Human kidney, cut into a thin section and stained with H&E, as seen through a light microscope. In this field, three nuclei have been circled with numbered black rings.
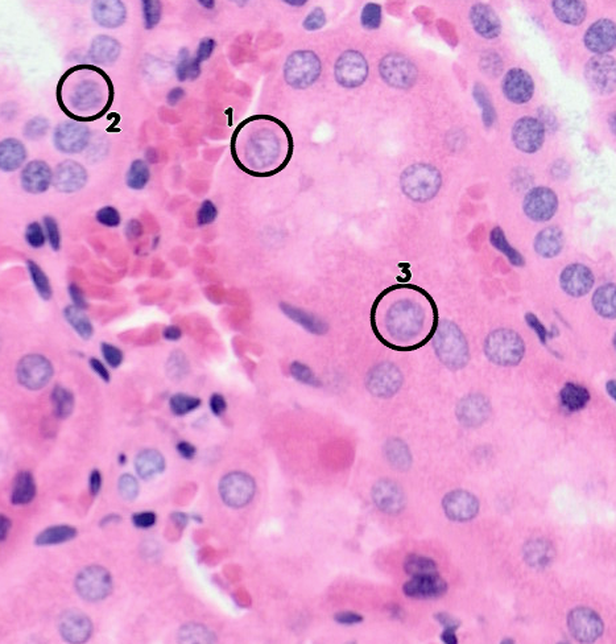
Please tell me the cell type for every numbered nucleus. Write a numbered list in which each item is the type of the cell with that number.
1. proximal tubule cell
2. collecting duct cell
3. proximal tubule cell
